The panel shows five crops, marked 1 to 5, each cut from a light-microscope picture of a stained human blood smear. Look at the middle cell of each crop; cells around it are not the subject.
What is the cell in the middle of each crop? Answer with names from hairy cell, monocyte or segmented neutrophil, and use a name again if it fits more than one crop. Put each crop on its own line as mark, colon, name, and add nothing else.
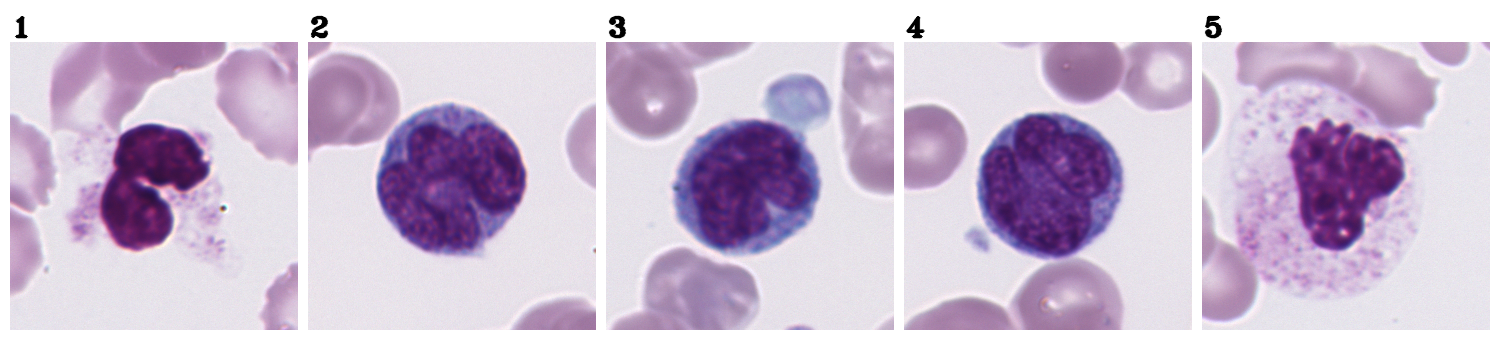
1: segmented neutrophil
2: monocyte
3: monocyte
4: monocyte
5: segmented neutrophil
